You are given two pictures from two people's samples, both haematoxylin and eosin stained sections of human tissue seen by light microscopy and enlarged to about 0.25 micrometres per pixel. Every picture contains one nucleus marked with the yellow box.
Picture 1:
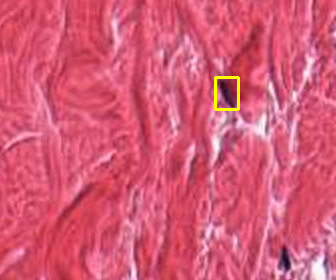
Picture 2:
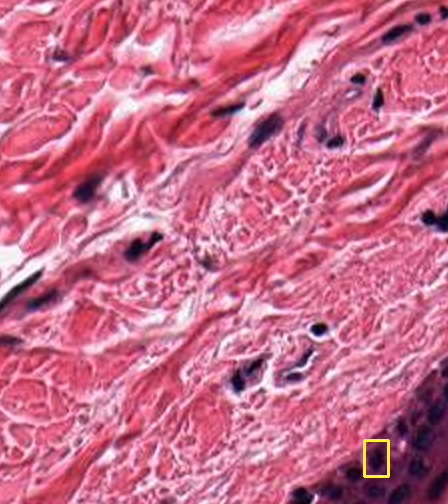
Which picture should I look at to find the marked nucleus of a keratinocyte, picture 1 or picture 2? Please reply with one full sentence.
Picture 2 carries the marked nucleus of a keratinocyte.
